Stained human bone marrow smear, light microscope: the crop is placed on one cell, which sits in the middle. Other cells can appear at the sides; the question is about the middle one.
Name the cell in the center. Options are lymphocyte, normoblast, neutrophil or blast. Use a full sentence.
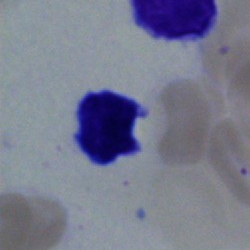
The cell at the heart of this crop is a lymphocyte.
